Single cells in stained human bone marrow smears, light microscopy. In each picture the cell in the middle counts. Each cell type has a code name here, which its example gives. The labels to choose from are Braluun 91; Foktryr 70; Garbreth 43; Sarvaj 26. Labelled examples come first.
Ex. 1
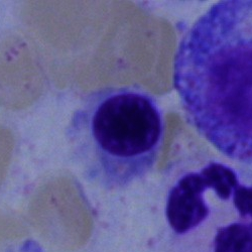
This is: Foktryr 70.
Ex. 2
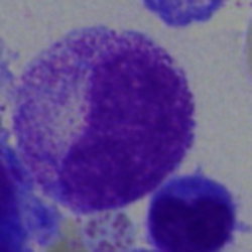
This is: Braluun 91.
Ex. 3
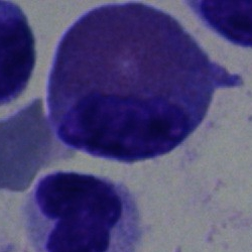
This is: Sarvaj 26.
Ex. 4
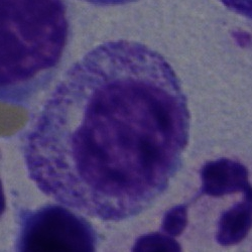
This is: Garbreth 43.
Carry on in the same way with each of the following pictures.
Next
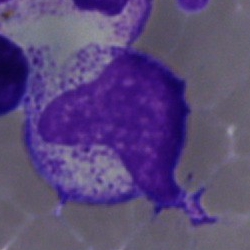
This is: Braluun 91.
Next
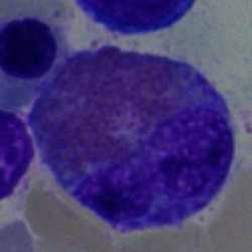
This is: Sarvaj 26.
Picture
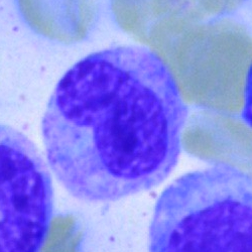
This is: Braluun 91.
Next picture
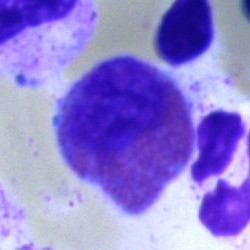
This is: Sarvaj 26.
